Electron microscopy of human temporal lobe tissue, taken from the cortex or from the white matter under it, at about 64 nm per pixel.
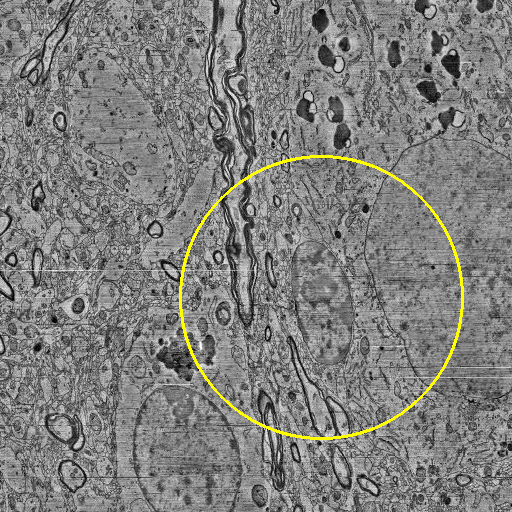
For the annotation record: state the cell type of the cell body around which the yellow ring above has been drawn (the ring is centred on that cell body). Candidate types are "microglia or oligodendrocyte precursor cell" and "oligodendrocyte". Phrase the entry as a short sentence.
The ringed cell is a microglial cell or oligodendrocyte precursor cell.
